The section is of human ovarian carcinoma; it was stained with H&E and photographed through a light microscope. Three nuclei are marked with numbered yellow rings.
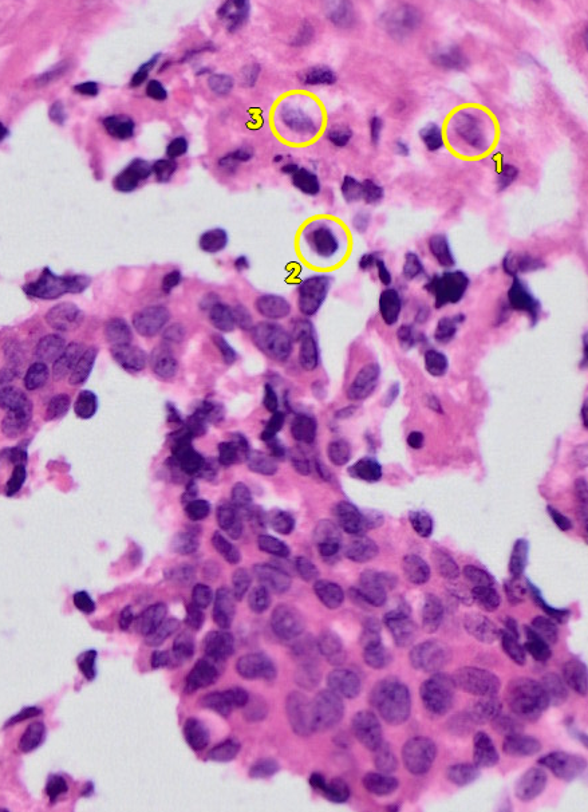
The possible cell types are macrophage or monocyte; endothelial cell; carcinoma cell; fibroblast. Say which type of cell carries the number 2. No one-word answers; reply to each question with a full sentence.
The cell numbered 2 has been identified as a carcinoma cell.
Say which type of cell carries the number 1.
Numbered cell 1 is a fibroblast in this tissue section.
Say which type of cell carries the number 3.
The cell indicated with the number 3 is classed as a fibroblast.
